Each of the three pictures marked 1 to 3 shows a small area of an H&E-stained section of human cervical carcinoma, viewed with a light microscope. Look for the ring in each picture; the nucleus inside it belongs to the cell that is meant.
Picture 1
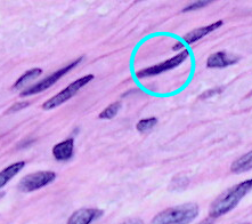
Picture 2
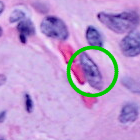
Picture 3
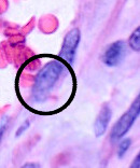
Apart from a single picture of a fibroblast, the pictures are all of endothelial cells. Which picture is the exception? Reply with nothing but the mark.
1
